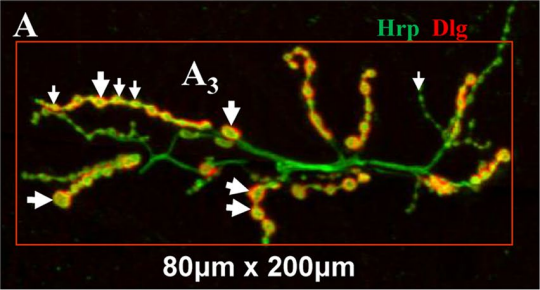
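This is a motor nerve ending on larval body-wall muscle, with a green nerve trunk branching out into several chains of rounded swellings, the synaptic boutons. Along the thicker branches the boutons are large and thickly surrounded by red to yellow, while some thinner branches carry smaller boutons with less red around them.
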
